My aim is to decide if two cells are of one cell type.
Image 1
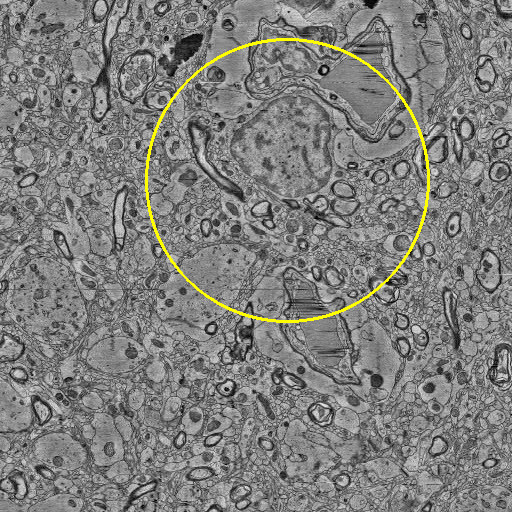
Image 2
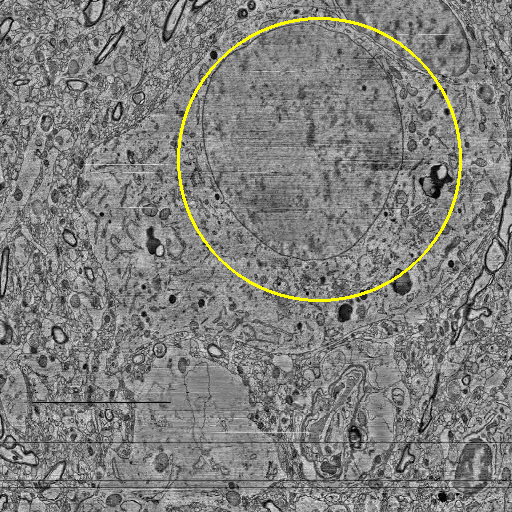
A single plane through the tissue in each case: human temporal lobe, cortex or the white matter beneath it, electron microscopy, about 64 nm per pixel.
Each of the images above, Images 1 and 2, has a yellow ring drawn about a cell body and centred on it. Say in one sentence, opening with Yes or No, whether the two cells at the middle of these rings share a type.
No, in Images 1 and 2 the cells at the middle of the rings fall into two types.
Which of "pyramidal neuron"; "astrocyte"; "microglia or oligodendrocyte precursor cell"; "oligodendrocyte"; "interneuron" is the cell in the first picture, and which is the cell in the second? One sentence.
The two differ: the first cell is an oligodendrocyte and the second is a pyramidal neuron.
